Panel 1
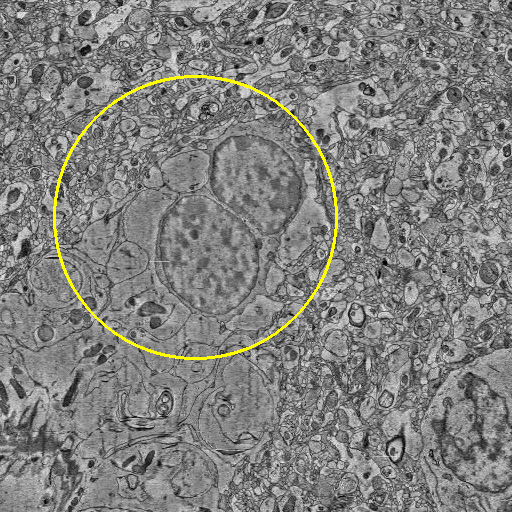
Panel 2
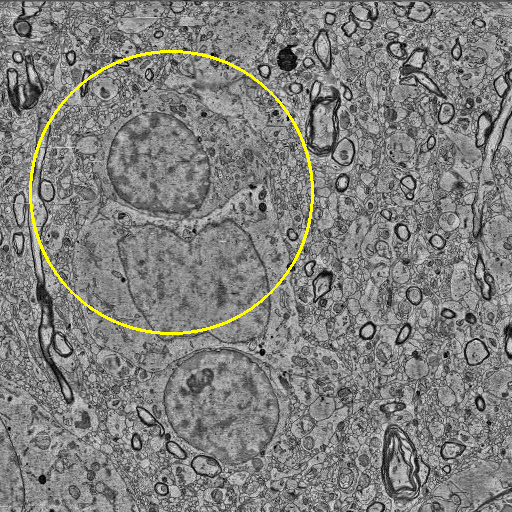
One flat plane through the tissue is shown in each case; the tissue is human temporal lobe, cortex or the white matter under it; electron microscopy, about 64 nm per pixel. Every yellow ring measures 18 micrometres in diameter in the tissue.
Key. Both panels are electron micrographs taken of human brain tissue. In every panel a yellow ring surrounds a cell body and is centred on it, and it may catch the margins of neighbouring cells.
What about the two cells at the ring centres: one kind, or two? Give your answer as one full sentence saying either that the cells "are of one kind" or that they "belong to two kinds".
Across Panels 1 and 2, the two cells at the ring centres are of one kind.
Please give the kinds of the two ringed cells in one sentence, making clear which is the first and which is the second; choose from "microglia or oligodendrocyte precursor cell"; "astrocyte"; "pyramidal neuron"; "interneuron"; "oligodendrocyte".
Each cell, in the first picture and the second, is an oligodendrocyte.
